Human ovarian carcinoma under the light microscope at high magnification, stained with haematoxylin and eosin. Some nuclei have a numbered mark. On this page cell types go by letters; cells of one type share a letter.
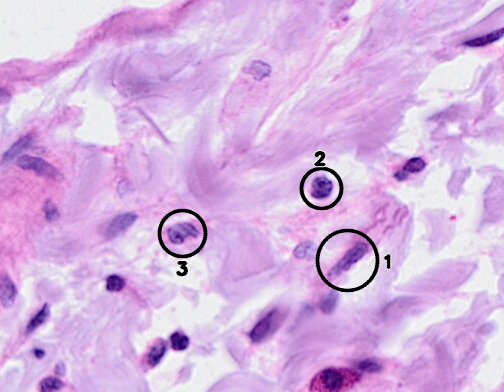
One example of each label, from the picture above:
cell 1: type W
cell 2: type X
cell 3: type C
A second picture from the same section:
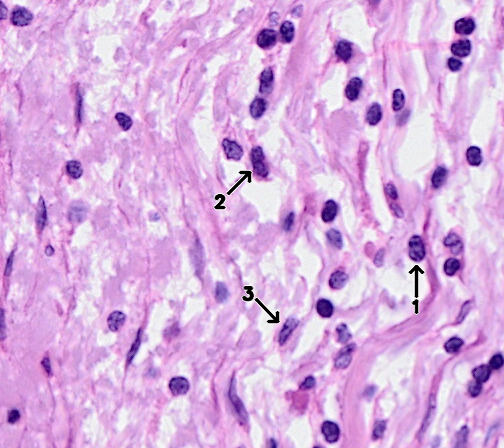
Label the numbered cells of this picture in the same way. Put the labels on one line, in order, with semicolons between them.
type X; type C; type C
